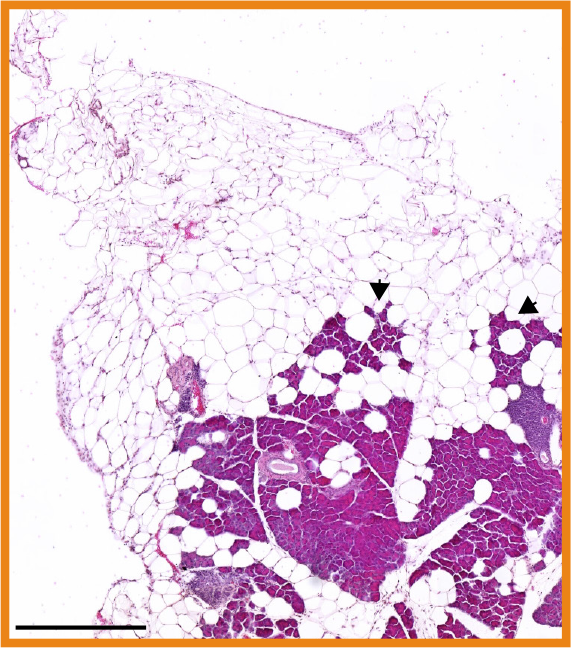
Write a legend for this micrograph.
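This is pancreas with a large area of fat tissue above a remaining mass of glandular tissue. The fat is made of large clear cells with thin pink borders, forming a loose lacy network. Below it, the acinar tissue stains deep magenta and is broken up by round clear holes where fat cells have moved in between the lobules. Small pale duct-like profiles and purple streaks of connective tissue lie within the glandular area.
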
